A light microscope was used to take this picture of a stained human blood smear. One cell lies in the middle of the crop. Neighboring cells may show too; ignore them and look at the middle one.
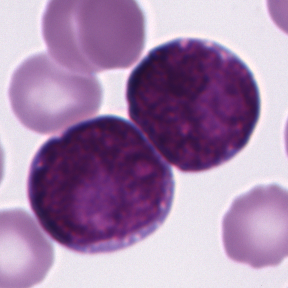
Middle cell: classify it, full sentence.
The cell at the heart of this crop is a myeloblast.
